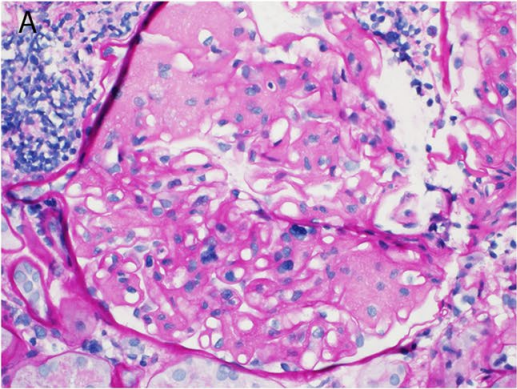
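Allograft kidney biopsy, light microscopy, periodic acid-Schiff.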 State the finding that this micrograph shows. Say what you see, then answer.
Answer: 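The glomerulus is divided into enlarged lobules. Broad pale pink homogeneous material fills the centres of the lobules. Capillary loops are pushed to the periphery of the lobules.
Marked mesangial expansion.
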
